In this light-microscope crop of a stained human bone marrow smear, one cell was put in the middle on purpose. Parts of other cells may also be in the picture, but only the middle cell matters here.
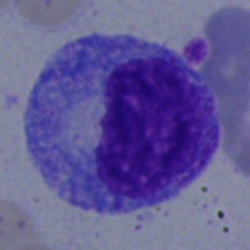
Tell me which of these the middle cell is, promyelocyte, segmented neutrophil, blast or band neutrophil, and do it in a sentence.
As for the central cell, it is a promyelocyte.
